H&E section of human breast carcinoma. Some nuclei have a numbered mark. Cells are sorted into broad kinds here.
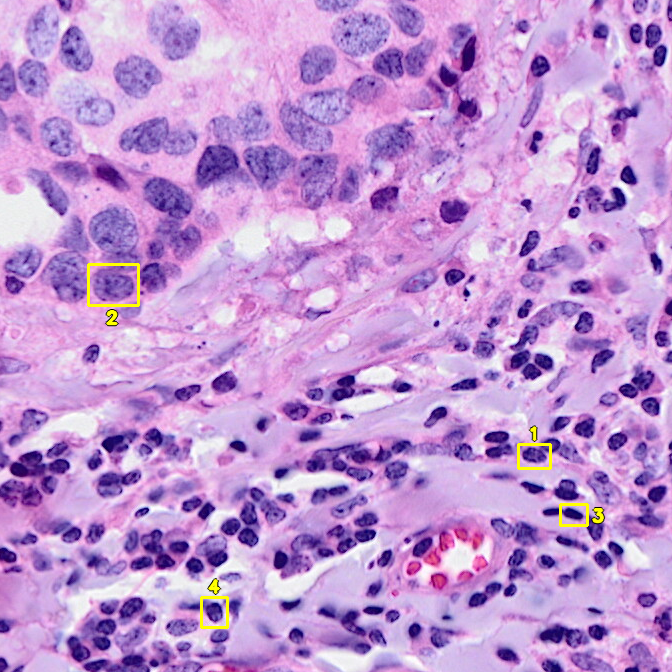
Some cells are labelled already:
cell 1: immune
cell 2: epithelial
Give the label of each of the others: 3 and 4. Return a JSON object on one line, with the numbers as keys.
{"3": "immune", "4": "immune"}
